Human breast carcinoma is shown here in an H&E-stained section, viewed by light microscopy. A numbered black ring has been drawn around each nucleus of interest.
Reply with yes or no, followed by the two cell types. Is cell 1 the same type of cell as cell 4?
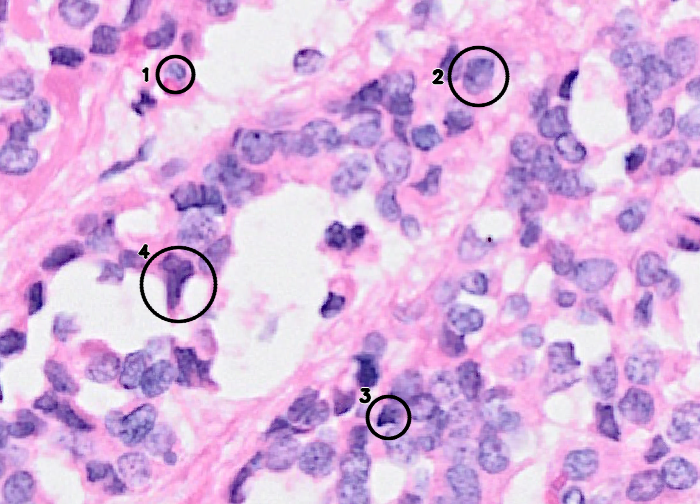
No, that is not right: cell 1 is an endothelial cell and cell 4 is a carcinoma cell.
